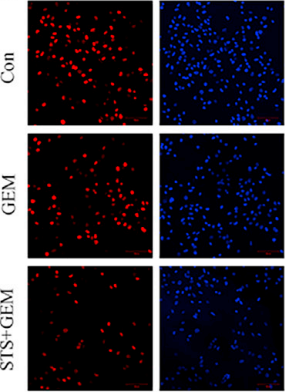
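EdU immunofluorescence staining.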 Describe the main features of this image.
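This is a grid of small fluorescence images of scattered cultured cells. Only their nuclei are visible, as small round to oval spots. In each row, the blue images show many evenly spread nuclei. The red images show a smaller subset of nuclei at the same positions. The number of red nuclei differs from row to row, and the bottom row has the fewest.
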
